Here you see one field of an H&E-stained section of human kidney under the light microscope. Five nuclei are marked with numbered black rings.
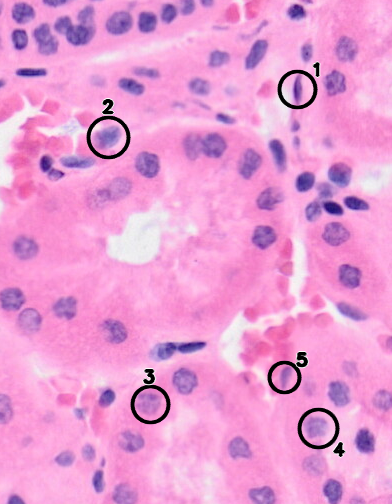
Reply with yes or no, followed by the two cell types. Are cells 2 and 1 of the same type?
Yes, cell 2 is one of the endothelial cells, and so is cell 1.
